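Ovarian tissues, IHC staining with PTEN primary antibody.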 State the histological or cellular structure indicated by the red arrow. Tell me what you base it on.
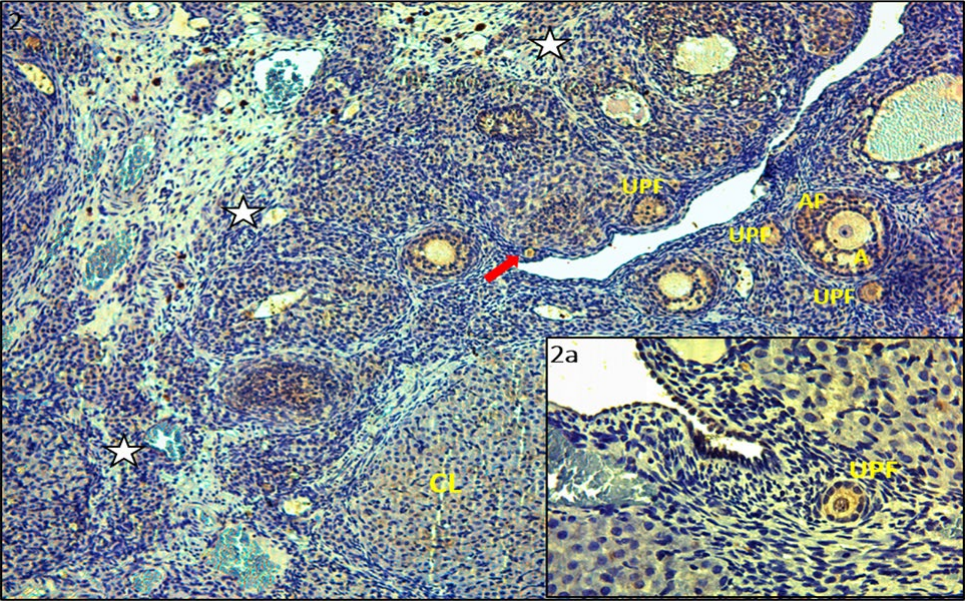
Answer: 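The arrow points to a very small round structure at the edge of a cleft. It is much smaller than the neighbouring follicles with several cell layers. On this evidence: Primordial follicles.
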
